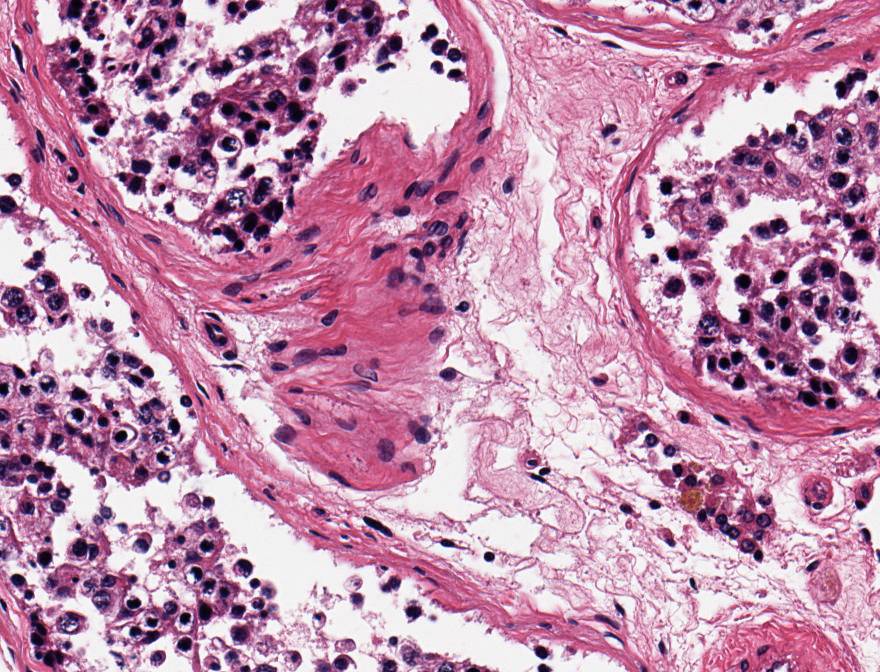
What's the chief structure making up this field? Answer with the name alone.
seminiferous tubule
